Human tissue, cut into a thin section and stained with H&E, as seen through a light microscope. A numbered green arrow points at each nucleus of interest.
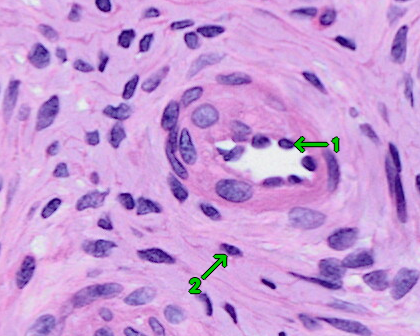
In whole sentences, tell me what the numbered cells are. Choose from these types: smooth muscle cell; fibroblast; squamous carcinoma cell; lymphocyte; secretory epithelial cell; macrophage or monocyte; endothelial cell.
Cell 1 is an endothelial cell and cell 2 is a fibroblast.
